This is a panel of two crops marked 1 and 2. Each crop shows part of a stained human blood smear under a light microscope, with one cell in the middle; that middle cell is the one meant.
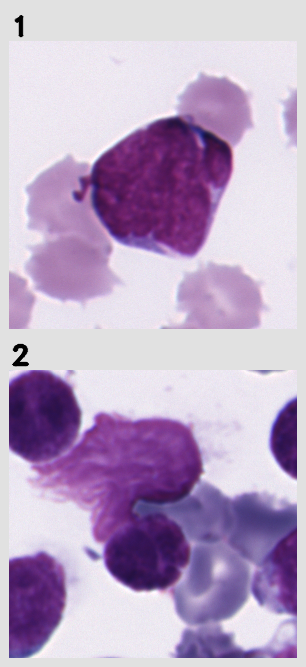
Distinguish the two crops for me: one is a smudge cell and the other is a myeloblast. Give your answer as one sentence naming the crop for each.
Crop 1 contains a myeloblast, and crop 2 contains a smudge cell.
